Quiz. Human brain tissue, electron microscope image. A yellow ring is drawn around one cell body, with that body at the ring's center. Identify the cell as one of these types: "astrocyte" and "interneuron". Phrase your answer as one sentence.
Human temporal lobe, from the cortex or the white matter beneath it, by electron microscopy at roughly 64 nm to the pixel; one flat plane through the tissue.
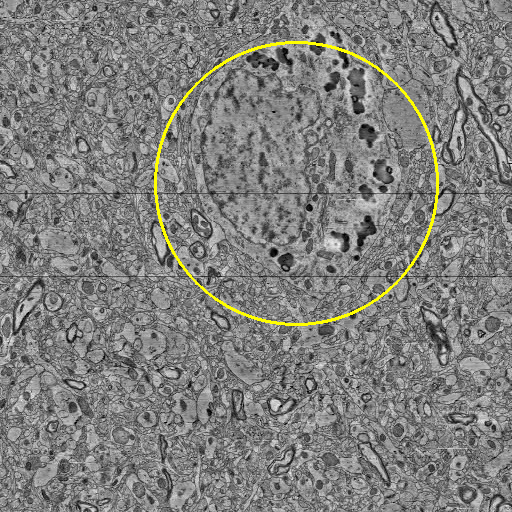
At the center of the ring sits an interneuron.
